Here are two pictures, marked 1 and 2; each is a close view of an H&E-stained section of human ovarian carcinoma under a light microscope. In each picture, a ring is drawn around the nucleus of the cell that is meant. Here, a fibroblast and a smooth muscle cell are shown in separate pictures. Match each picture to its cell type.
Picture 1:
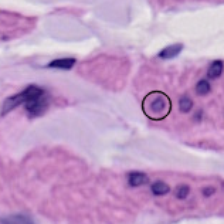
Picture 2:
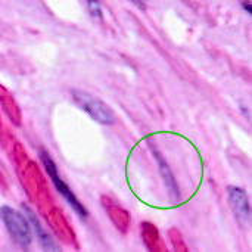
1: smooth muscle cell
2: fibroblast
